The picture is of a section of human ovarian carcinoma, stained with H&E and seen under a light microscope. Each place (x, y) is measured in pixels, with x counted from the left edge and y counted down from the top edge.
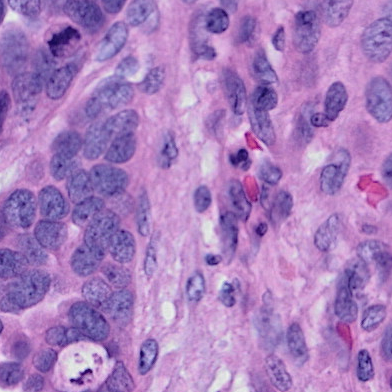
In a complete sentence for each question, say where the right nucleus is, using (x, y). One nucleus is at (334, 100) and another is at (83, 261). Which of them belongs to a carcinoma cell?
Of these two nuclei, it is the one at (83, 261) that belongs to a carcinoma cell.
